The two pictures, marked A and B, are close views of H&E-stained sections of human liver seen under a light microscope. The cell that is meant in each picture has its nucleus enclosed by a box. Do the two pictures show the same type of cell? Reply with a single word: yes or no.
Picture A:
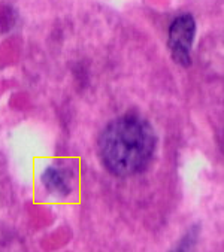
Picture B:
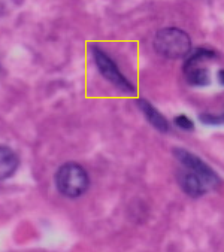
no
